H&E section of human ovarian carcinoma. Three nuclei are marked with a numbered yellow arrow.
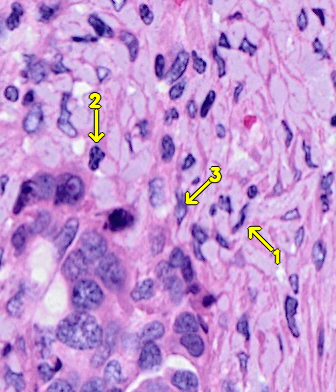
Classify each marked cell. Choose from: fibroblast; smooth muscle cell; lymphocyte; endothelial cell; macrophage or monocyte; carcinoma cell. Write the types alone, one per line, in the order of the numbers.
fibroblast
lymphocyte
fibroblast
